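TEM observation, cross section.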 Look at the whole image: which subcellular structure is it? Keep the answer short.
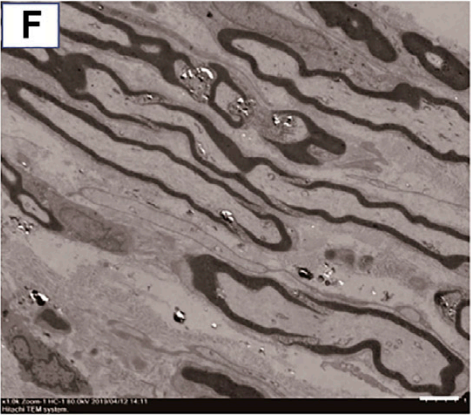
Myelin sheathes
